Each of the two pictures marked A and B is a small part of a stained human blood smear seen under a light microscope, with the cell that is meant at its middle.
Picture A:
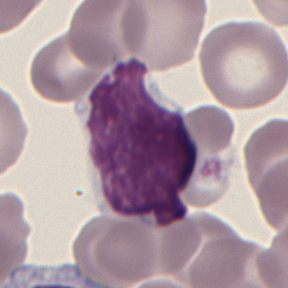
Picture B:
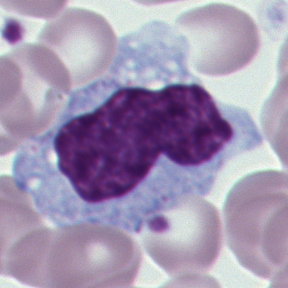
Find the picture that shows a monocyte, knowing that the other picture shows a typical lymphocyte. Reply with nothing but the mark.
B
